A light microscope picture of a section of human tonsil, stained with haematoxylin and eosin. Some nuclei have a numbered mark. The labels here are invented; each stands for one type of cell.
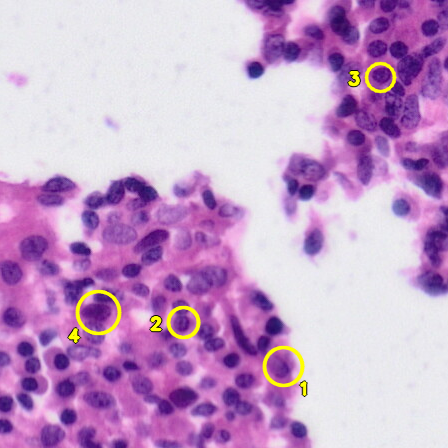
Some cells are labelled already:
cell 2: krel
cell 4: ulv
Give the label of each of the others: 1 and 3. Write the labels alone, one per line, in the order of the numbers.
ulv
krel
